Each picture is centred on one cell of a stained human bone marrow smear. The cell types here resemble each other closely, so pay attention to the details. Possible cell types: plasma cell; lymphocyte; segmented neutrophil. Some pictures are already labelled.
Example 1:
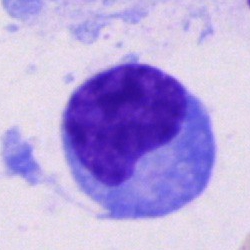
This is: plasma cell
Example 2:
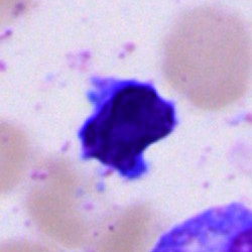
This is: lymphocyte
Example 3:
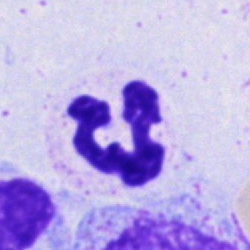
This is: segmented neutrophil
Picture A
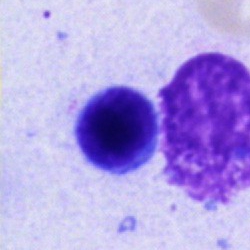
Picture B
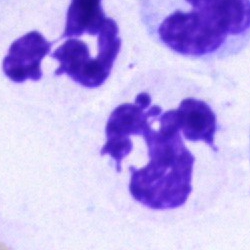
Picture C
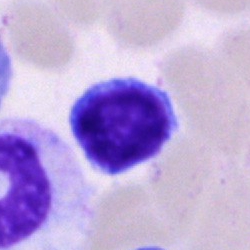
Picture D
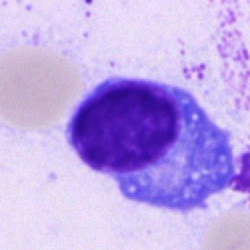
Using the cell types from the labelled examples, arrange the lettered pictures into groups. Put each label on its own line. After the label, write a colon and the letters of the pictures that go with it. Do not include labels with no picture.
plasma cell: D
lymphocyte: A, C
segmented neutrophil: B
